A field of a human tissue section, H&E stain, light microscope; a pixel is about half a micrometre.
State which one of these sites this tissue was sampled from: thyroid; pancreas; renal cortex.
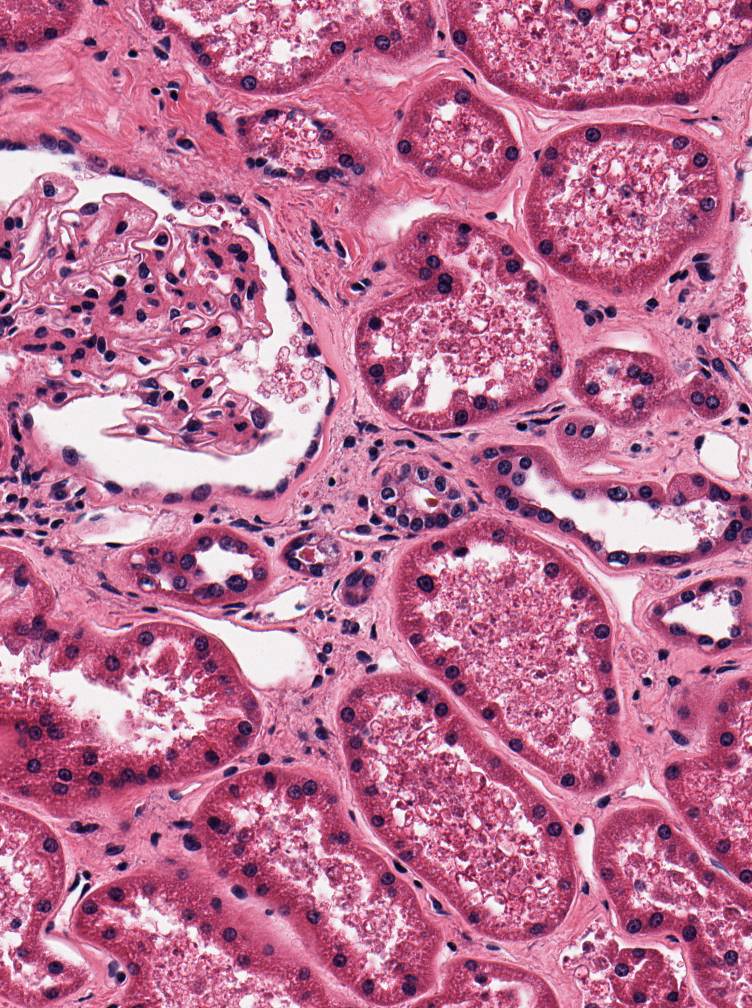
renal cortex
